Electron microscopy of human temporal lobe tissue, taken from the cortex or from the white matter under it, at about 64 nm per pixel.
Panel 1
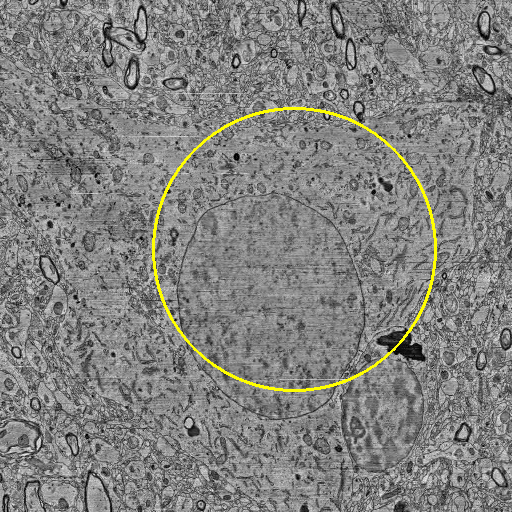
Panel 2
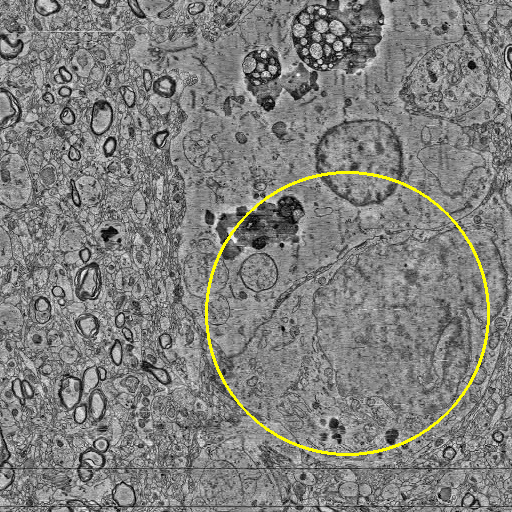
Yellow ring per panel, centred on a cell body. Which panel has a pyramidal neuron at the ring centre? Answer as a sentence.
Panel 1 shows it at the ring centre.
